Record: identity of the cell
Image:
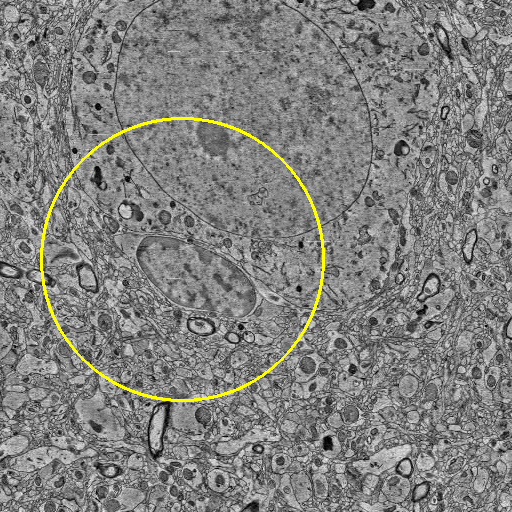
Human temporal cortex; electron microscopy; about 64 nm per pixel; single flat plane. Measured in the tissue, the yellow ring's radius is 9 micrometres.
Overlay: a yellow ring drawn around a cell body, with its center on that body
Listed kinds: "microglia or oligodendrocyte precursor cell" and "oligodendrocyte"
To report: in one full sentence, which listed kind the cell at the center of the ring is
In the image, the cell body at the ring's center belongs to a microglial cell or oligodendrocyte precursor cell.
